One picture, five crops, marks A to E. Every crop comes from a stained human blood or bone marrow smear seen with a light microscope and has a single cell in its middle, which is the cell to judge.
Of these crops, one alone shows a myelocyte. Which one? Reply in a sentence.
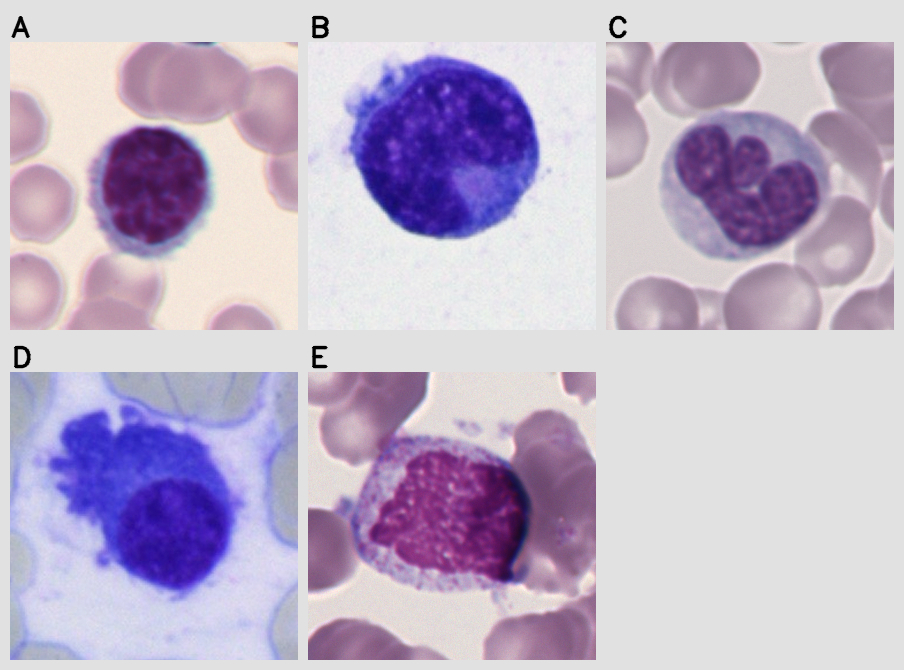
In this series, a myelocyte is shown by crop E.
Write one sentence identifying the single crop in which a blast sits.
Crop B is the crop containing a blast.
